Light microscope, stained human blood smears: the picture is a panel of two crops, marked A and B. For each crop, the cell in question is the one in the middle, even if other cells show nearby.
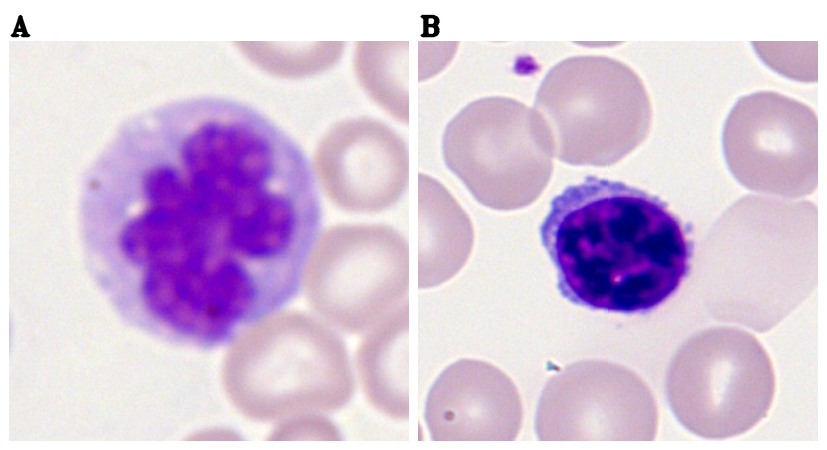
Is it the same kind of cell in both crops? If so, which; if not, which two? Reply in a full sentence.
No, a monocyte is shown in crop A and a lymphocyte in crop B.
